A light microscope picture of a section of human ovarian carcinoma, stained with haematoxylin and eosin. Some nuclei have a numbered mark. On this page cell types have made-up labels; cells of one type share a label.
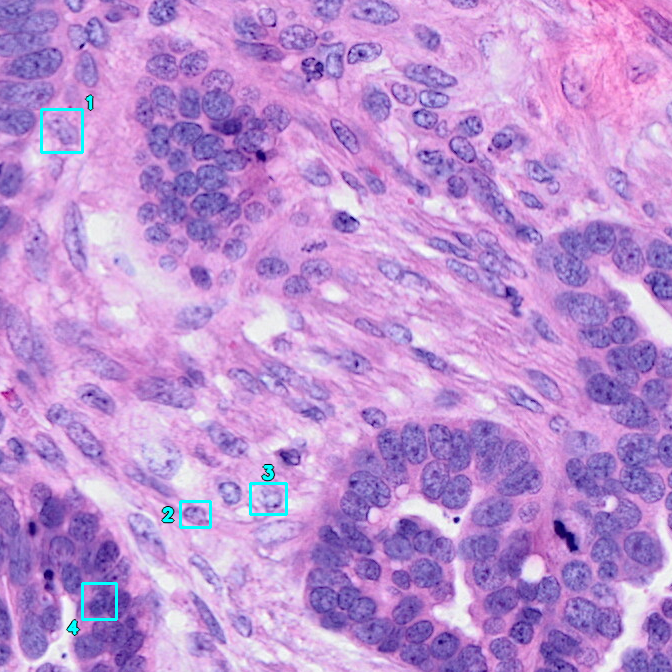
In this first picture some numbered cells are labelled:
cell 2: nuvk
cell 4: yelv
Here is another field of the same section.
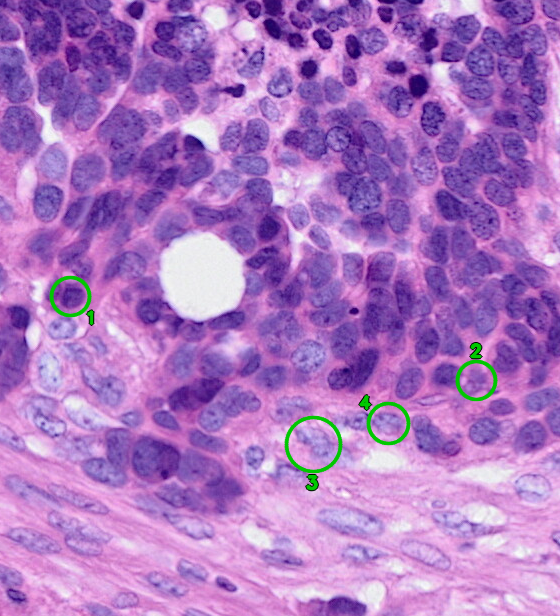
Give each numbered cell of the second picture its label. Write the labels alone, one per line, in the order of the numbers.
yelv
yelv
nuvk
nuvk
